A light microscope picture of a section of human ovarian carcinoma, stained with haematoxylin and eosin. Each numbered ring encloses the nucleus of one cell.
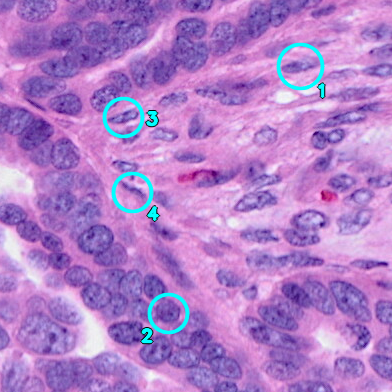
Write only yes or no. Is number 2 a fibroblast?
no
